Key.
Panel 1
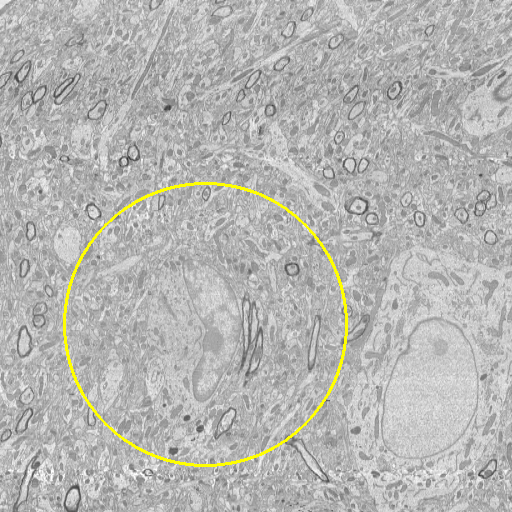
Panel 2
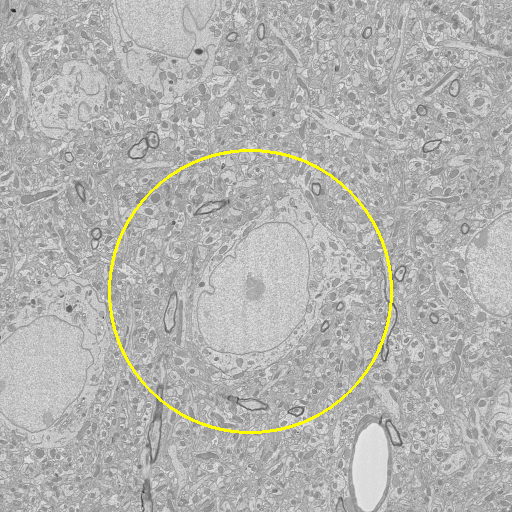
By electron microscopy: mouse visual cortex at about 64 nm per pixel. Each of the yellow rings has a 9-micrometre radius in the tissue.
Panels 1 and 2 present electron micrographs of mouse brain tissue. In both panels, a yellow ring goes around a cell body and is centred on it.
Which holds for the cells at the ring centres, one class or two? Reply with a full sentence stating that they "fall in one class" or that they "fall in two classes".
Taken together, the ring-centre cells of the two panels fall in two classes.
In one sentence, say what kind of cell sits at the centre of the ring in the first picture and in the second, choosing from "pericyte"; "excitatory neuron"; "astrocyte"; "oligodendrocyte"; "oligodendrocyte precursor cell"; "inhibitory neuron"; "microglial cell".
The first picture's ringed cell is an oligodendrocyte, while the second picture's is an excitatory neuron.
